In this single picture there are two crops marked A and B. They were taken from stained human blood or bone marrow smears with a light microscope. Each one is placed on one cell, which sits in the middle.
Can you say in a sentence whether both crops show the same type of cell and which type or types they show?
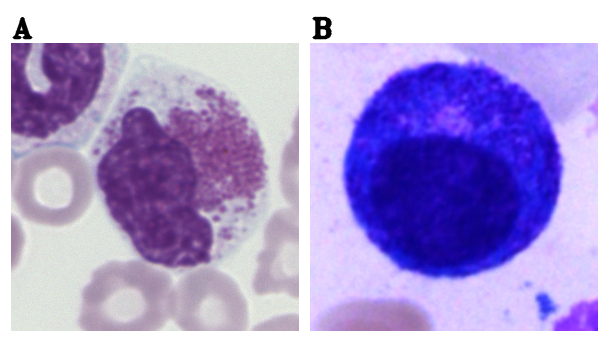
No, the correct reading is an eosinophil in crop A and a promyelocyte in crop B.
